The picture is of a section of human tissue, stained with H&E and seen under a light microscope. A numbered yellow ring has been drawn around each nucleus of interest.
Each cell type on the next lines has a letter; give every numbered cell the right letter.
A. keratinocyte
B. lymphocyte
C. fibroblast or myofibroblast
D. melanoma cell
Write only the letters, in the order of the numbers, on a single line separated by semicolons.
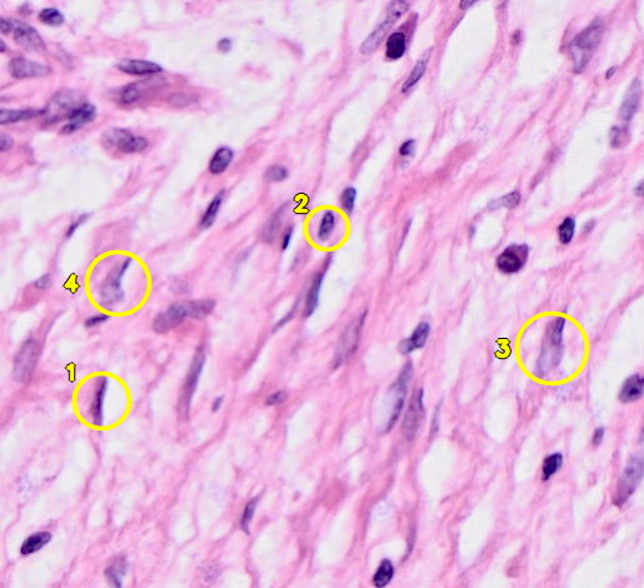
C; B; C; C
